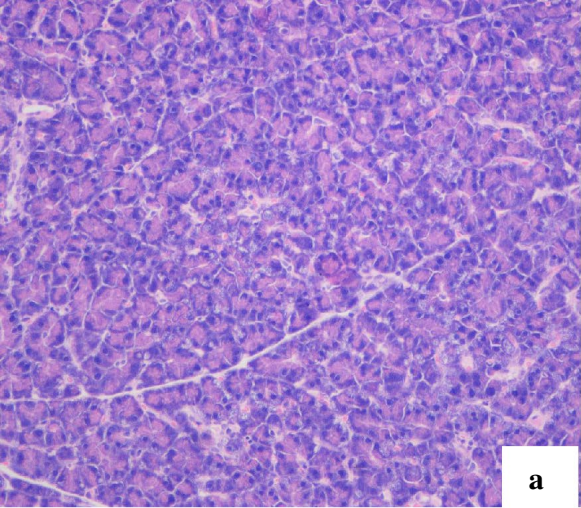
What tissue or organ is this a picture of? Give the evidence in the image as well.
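Tightly packed acini of pyramidal cells with basal purple nuclei and pink apical cytoplasm. Thin connective tissue septa divide the parenchyma into lobules. Small ducts and vessels lie between the acini.
Answer: pancreas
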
